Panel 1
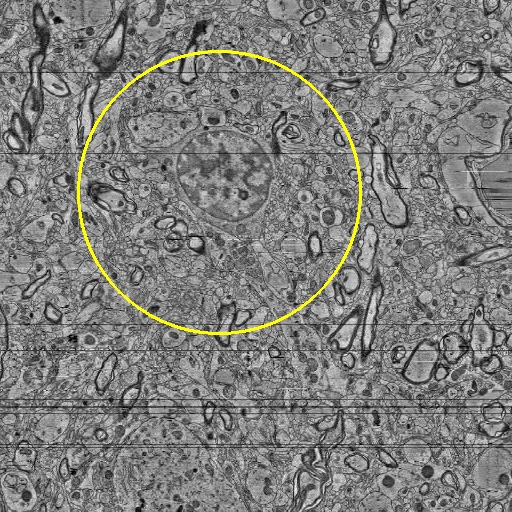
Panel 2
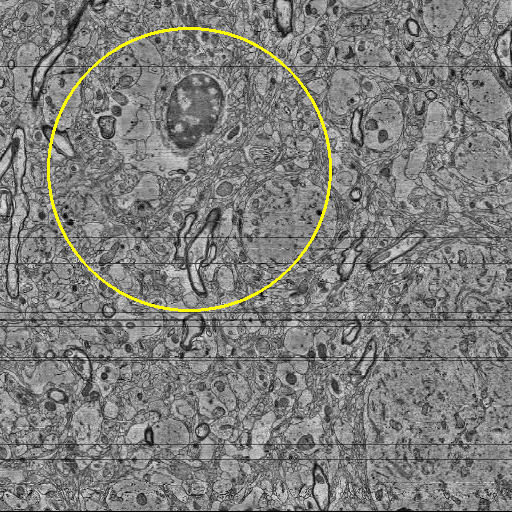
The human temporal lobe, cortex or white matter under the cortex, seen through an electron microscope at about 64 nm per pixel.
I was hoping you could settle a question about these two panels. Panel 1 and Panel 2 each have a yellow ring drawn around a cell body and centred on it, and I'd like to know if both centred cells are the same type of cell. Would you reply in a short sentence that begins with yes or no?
No, they are two types of cell.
